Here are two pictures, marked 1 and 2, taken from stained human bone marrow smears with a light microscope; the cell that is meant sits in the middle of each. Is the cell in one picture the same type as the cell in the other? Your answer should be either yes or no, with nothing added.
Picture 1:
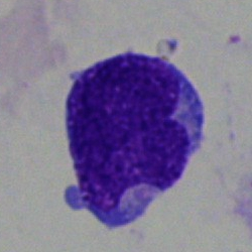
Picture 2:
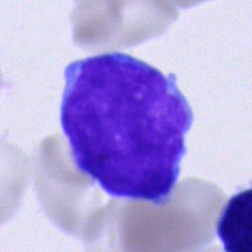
yes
